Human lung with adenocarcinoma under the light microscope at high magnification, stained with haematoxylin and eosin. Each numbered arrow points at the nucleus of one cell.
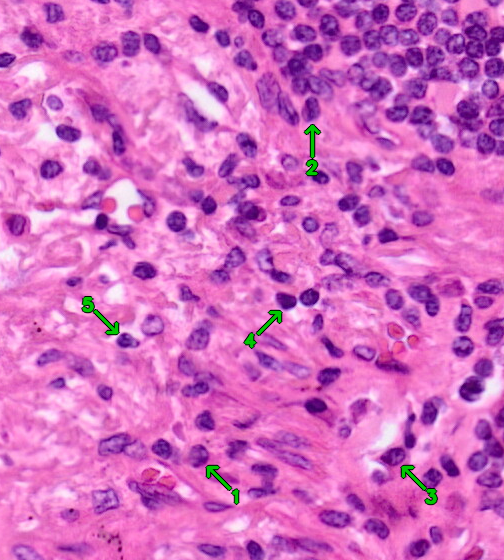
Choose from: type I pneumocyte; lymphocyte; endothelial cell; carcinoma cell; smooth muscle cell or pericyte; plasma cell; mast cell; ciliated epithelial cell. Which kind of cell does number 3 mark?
plasma cell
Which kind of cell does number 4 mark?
lymphocyte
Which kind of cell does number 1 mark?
plasma cell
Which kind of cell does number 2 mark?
lymphocyte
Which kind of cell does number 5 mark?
lymphocyte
